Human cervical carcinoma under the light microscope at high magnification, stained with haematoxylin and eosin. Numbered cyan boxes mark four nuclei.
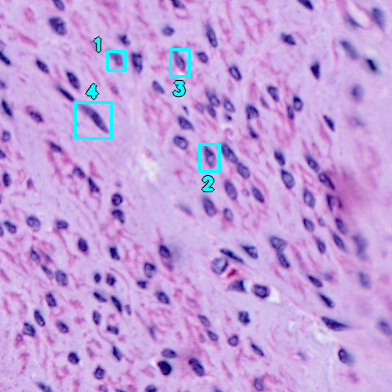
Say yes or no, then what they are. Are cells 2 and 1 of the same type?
Yes, both are smooth muscle cells.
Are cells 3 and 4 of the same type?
No, cell 3 is a smooth muscle cell and cell 4 is a fibroblast.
